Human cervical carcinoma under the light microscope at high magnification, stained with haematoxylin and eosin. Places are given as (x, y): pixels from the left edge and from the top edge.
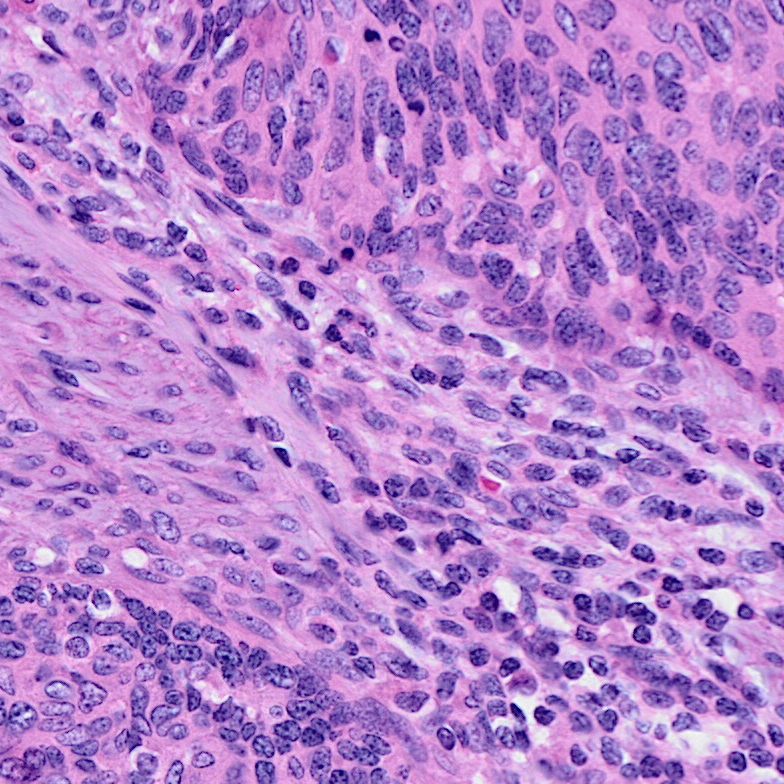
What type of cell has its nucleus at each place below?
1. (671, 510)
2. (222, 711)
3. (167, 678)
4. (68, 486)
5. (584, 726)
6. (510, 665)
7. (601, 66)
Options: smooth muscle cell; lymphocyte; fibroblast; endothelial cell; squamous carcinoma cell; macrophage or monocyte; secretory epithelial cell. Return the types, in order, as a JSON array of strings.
["lymphocyte", "squamous carcinoma cell", "squamous carcinoma cell", "smooth muscle cell", "lymphocyte", "lymphocyte", "squamous carcinoma cell"]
